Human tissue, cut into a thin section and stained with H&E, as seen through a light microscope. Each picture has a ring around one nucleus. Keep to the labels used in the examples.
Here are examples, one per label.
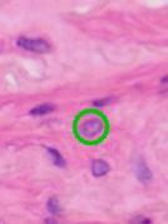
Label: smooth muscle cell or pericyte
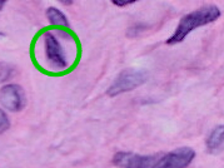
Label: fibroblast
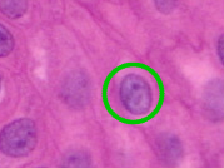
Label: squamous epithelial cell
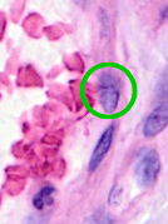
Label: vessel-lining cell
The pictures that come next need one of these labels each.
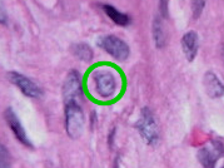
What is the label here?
fibroblast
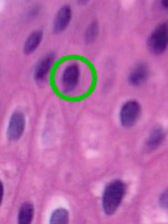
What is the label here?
squamous epithelial cell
